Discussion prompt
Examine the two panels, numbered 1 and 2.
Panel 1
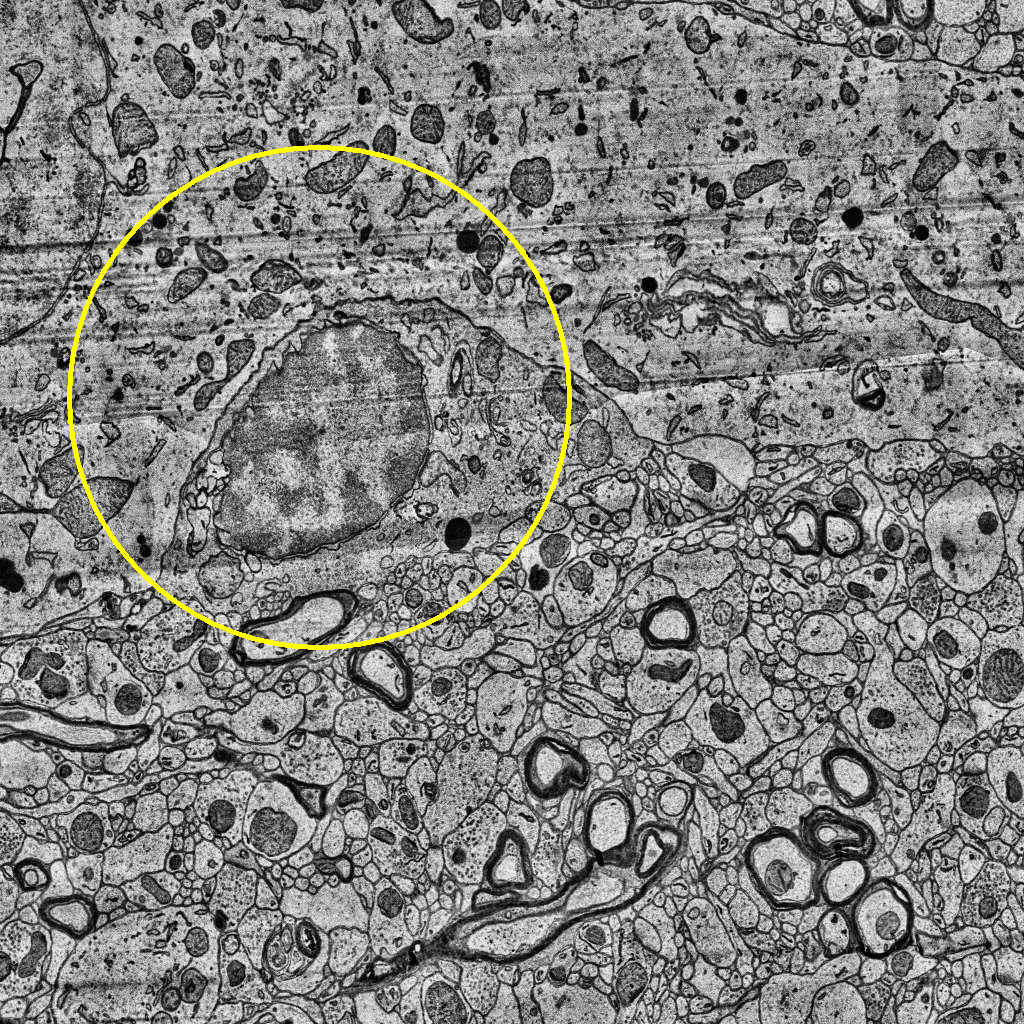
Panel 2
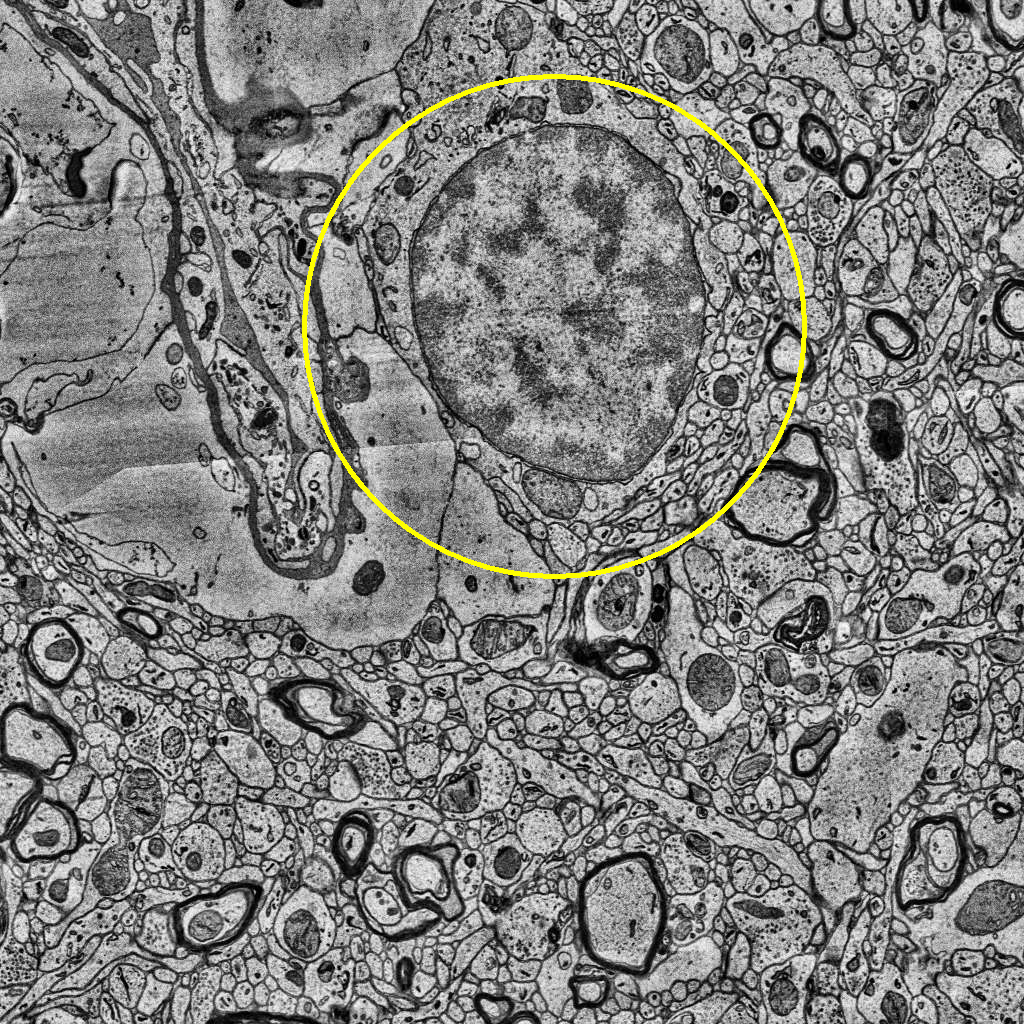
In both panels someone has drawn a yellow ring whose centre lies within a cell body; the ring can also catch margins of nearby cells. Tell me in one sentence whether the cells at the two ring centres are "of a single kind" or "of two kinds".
Taken together, the two cells at the ring centres of Panels 1 and 2 are of a single kind.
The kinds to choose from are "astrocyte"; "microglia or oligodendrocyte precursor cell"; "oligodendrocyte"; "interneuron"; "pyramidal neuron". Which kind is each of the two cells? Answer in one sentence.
Each of the two cells is an oligodendrocyte.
